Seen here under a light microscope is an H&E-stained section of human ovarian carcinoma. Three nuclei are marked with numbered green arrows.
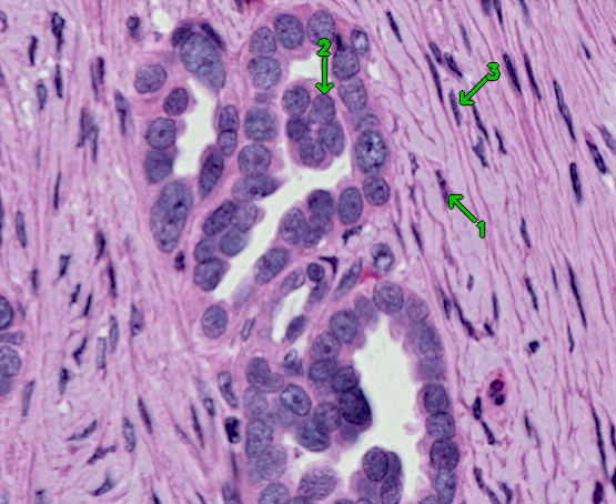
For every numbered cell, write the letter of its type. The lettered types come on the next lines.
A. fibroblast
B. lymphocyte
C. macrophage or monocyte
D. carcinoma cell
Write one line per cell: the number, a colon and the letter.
1: A
2: D
3: A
